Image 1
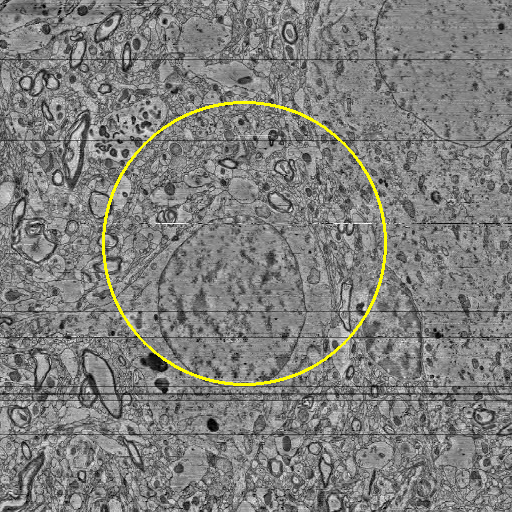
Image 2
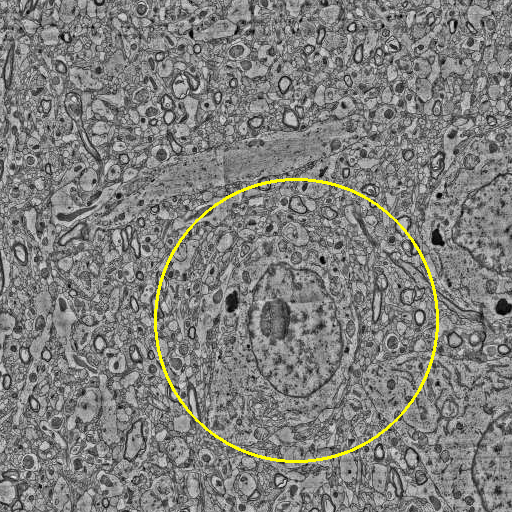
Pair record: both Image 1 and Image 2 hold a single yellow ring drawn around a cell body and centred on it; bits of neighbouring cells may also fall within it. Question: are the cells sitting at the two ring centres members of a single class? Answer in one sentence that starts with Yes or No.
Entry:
Yes, both ring-centre cells in Image 1 and Image 2 are members of one class.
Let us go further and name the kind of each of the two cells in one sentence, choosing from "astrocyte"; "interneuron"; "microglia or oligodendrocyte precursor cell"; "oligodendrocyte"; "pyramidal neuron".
Each of the two rings is centred on a pyramidal neuron.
